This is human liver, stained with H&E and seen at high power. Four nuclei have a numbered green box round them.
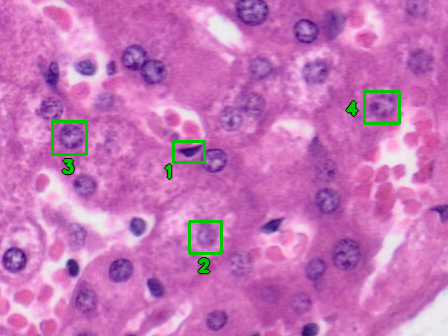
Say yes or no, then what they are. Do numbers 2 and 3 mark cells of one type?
Yes, cell number 2 and cell number 3 are both hepatocytes.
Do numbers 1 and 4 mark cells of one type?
No, cell 1 is to be identified as a fibroblast or stellate cell and cell 4 as a hepatocyte.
